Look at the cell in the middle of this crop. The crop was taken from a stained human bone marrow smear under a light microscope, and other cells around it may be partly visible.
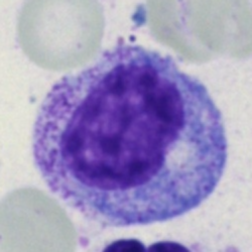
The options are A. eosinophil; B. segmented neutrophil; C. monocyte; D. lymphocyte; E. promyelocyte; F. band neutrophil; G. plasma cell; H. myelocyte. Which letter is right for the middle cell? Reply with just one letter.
E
